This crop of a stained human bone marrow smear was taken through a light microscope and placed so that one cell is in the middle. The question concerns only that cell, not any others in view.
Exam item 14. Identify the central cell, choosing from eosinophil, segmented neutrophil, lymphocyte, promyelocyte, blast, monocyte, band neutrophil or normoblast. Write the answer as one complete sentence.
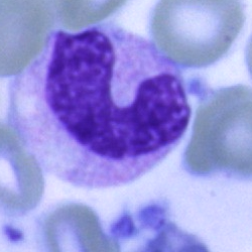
In the center of this field lies a band neutrophil.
